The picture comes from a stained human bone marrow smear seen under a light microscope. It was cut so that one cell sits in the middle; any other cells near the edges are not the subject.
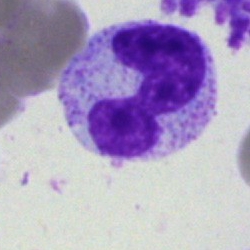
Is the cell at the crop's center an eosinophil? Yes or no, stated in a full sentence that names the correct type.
No, it is a band neutrophil that sits in the middle, not an eosinophil.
